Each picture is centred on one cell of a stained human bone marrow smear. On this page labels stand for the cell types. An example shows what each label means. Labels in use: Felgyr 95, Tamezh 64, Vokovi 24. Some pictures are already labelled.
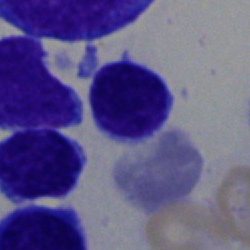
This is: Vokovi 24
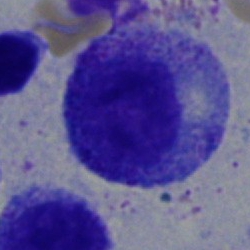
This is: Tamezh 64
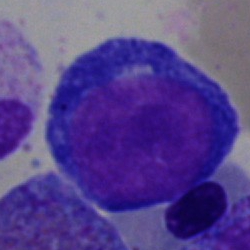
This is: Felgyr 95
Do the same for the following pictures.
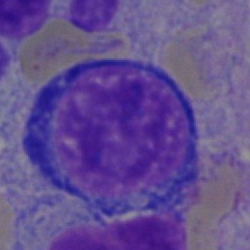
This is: Felgyr 95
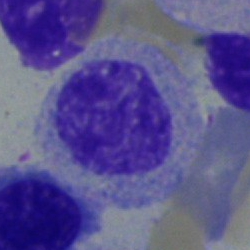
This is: Tamezh 64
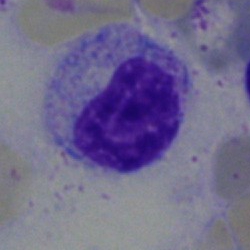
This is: Tamezh 64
